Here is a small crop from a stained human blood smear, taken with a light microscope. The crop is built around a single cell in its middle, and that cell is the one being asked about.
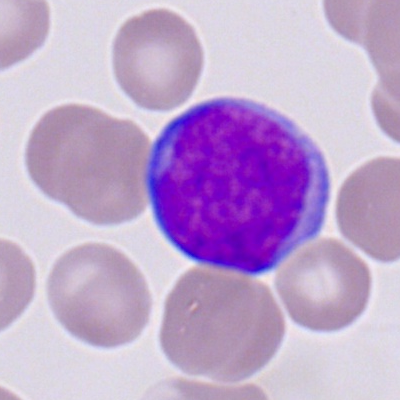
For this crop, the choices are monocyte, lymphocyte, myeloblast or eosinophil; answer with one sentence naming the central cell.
Of the cells in this crop, the central one is a myeloblast.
